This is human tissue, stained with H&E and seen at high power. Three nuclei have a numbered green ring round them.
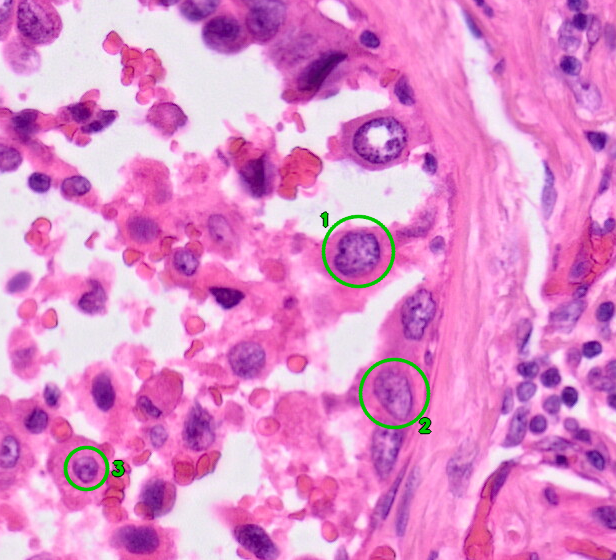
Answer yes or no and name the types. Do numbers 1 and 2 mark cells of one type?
Yes, both of cells 1 and 2 are carcinoma cells.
